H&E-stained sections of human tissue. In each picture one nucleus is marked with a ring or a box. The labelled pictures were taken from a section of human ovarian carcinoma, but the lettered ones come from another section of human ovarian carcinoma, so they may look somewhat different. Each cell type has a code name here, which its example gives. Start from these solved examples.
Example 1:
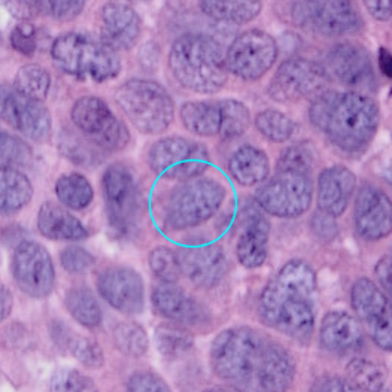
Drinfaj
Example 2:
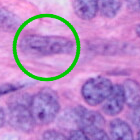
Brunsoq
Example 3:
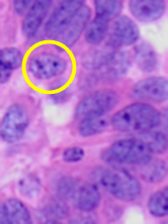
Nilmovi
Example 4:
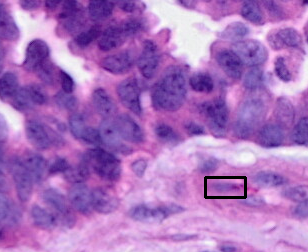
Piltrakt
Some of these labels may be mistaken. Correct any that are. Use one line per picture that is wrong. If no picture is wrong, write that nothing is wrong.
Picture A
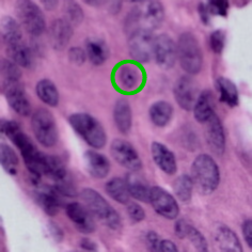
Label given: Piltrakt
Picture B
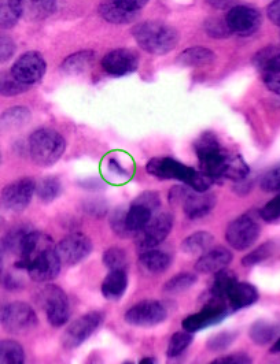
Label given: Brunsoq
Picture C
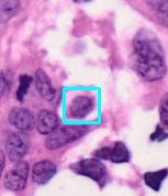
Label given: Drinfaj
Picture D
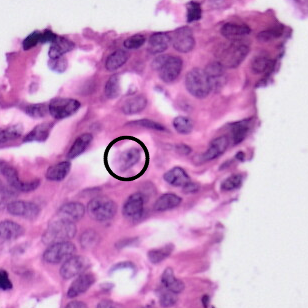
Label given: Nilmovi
Wrong: B (Brunsoq); correct: Nilmovi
